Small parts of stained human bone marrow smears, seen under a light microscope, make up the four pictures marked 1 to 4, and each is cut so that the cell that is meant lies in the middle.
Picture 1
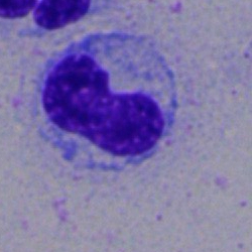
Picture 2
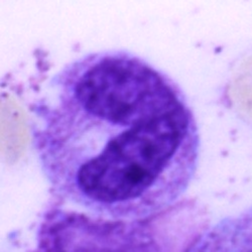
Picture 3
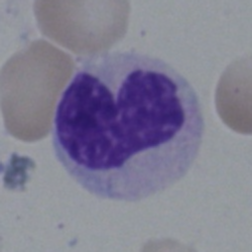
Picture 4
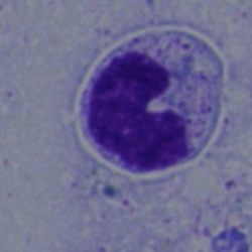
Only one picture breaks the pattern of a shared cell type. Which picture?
3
